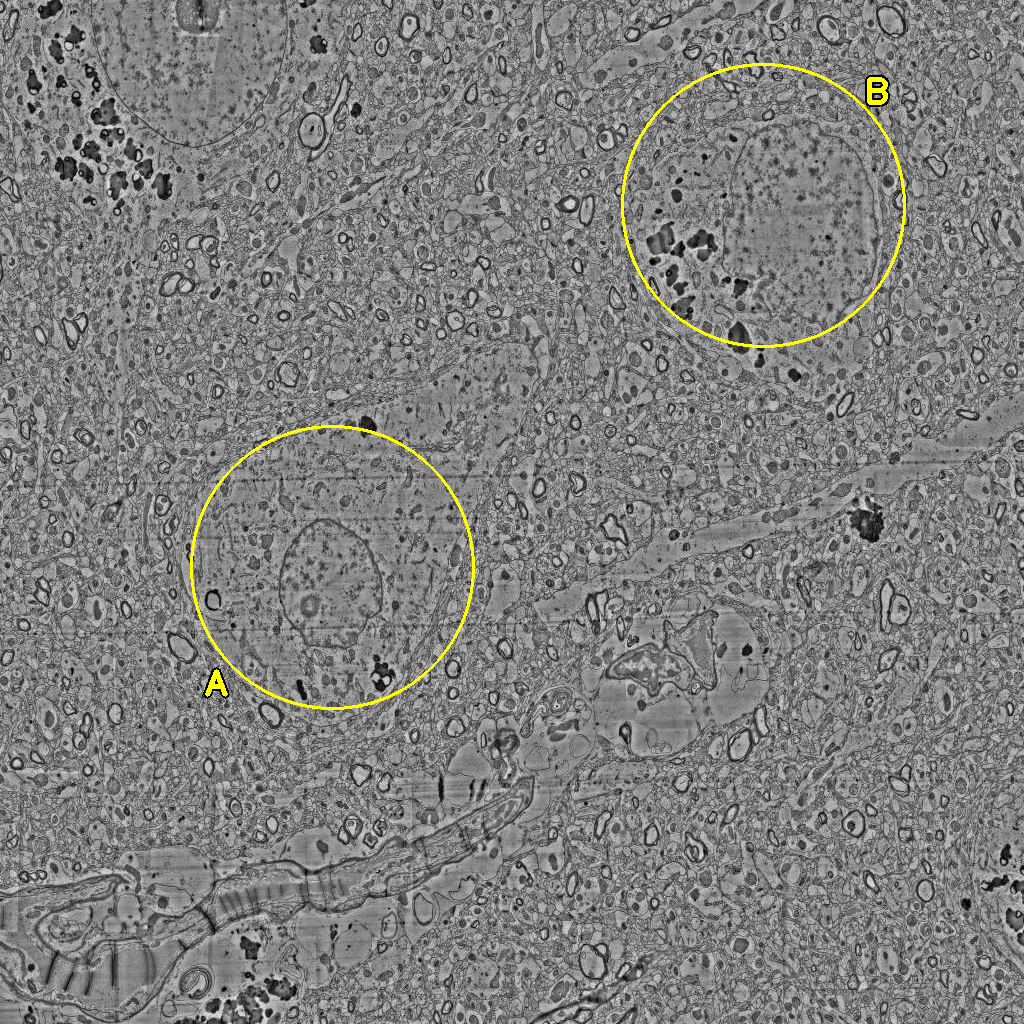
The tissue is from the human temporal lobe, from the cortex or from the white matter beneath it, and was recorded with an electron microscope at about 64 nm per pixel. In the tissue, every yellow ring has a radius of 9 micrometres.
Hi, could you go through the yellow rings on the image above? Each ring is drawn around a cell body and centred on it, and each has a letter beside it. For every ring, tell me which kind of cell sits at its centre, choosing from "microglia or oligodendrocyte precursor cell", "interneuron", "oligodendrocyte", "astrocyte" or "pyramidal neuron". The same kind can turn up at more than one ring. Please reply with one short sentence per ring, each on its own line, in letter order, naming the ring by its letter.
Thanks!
Ring A is centred on a pyramidal neuron.
Ring B is centred on an interneuron.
